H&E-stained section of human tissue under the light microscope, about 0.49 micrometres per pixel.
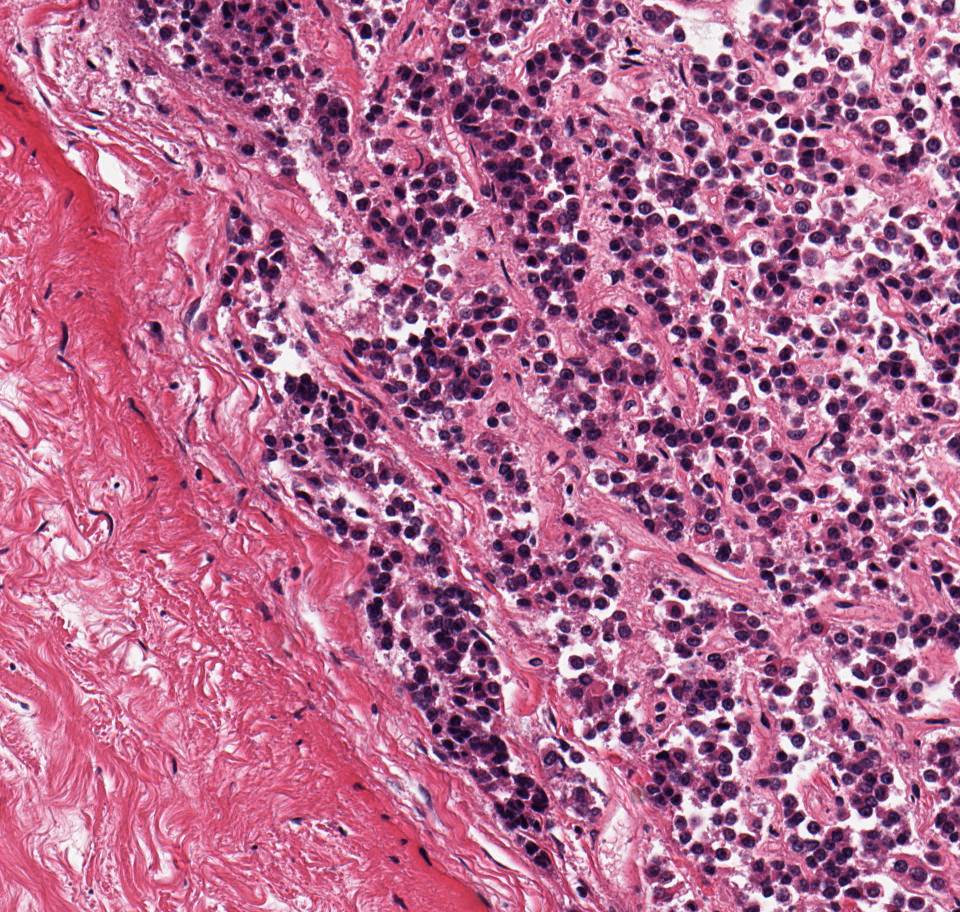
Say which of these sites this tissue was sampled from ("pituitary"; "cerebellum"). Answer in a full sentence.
The site this tissue was sampled from is the pituitary.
